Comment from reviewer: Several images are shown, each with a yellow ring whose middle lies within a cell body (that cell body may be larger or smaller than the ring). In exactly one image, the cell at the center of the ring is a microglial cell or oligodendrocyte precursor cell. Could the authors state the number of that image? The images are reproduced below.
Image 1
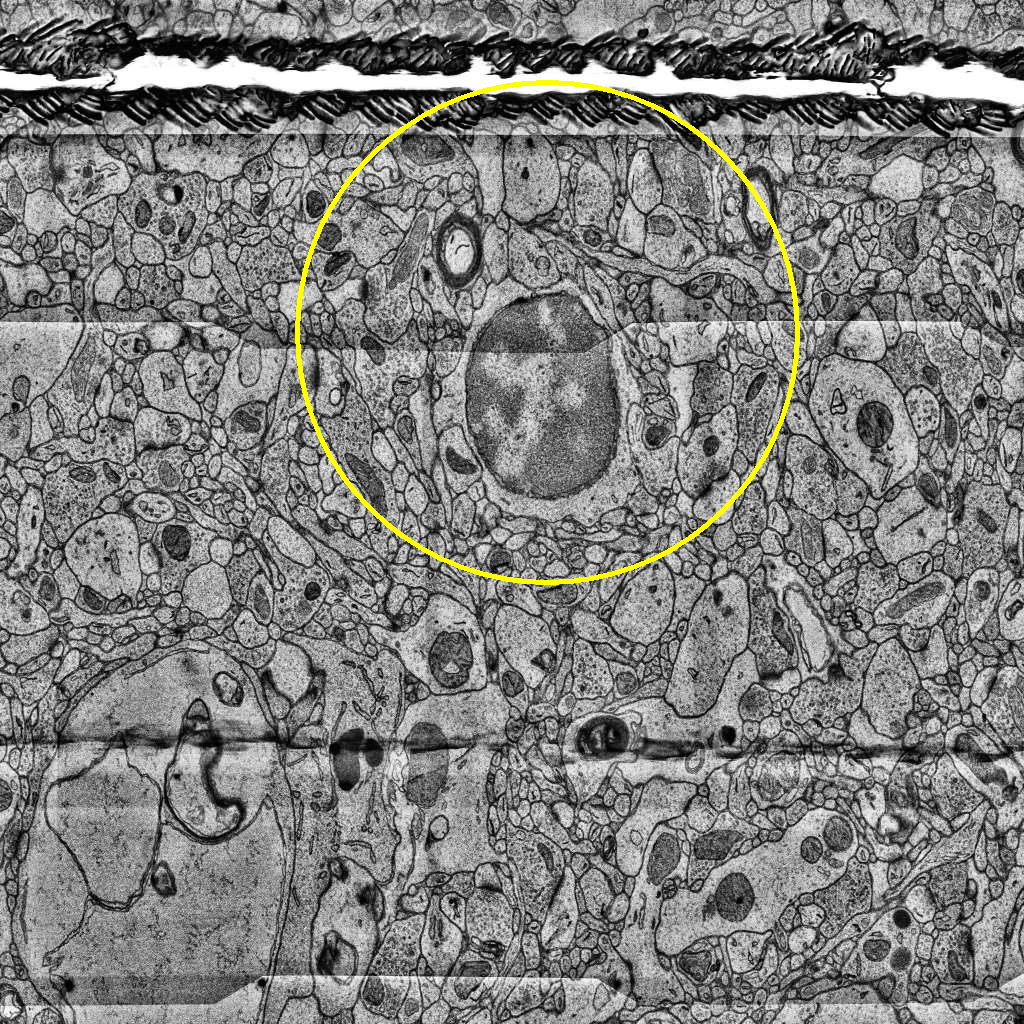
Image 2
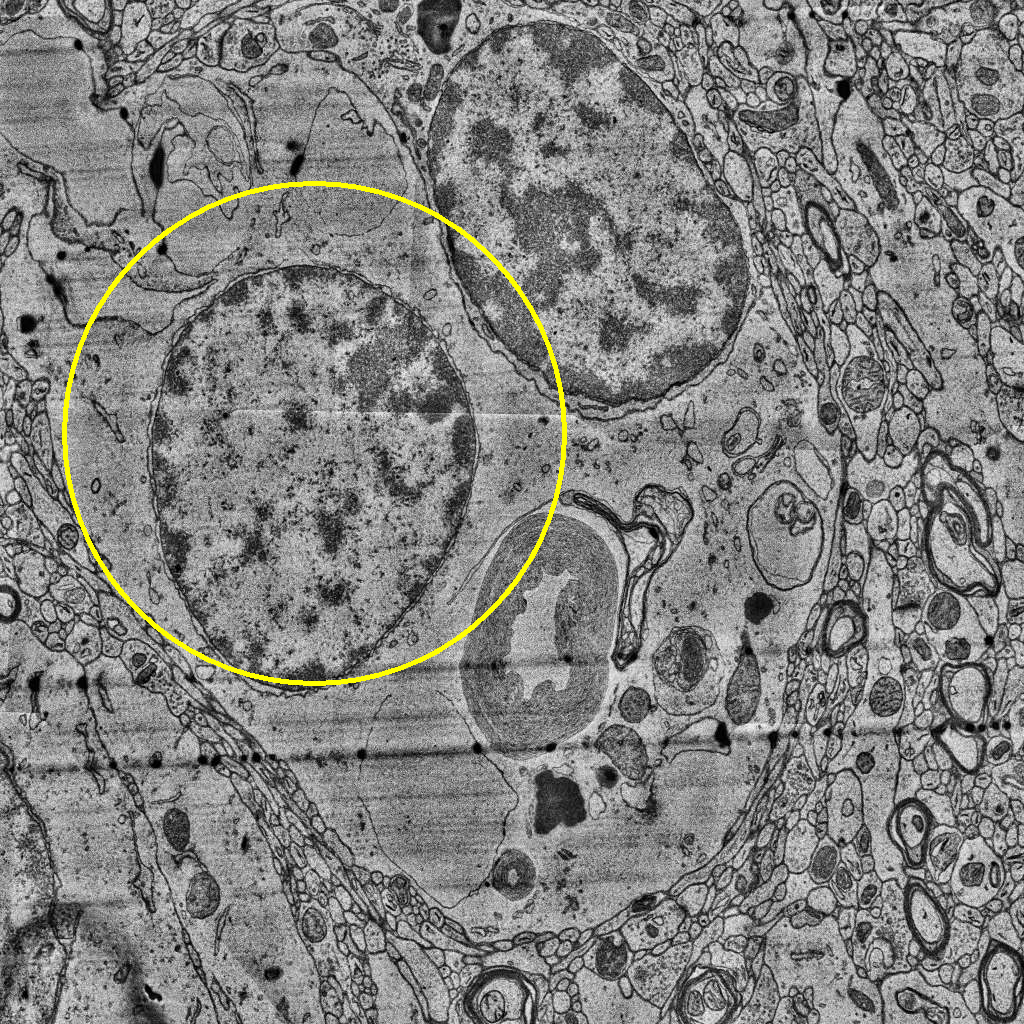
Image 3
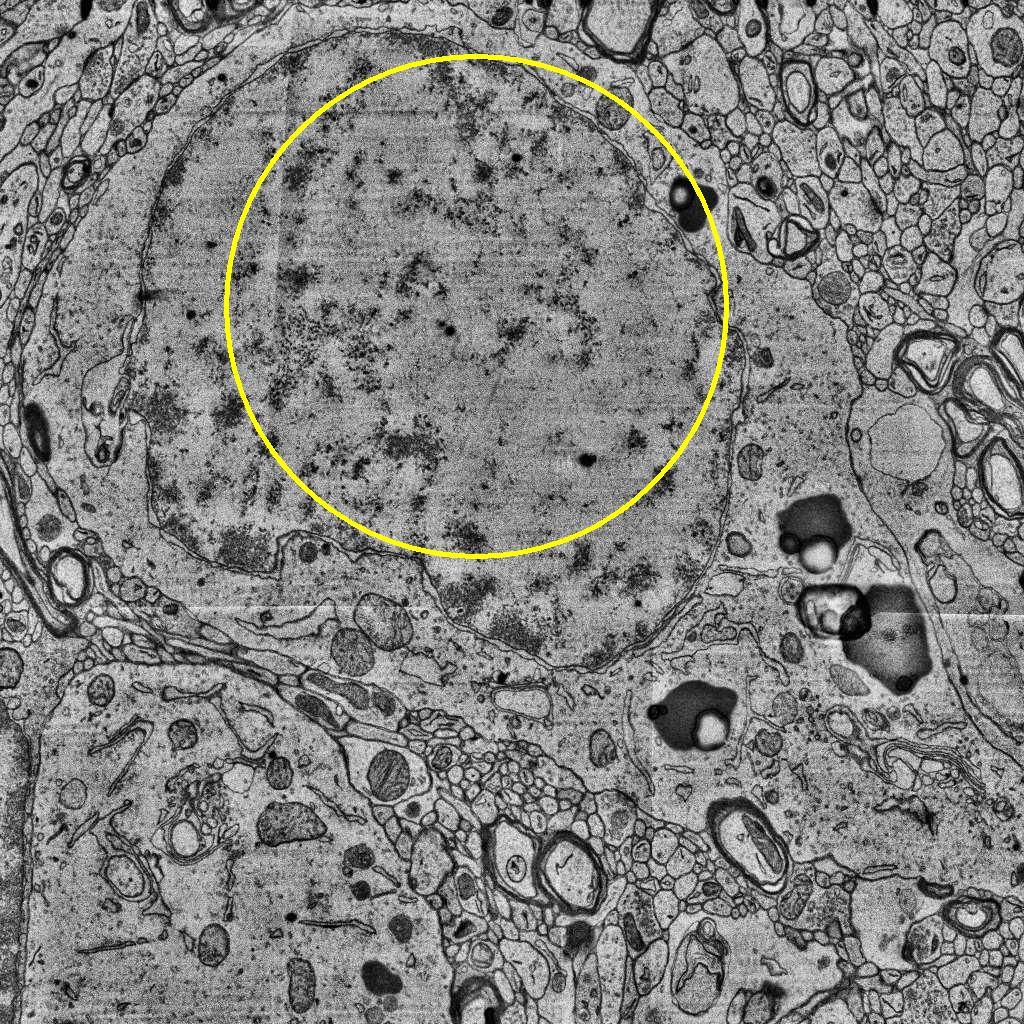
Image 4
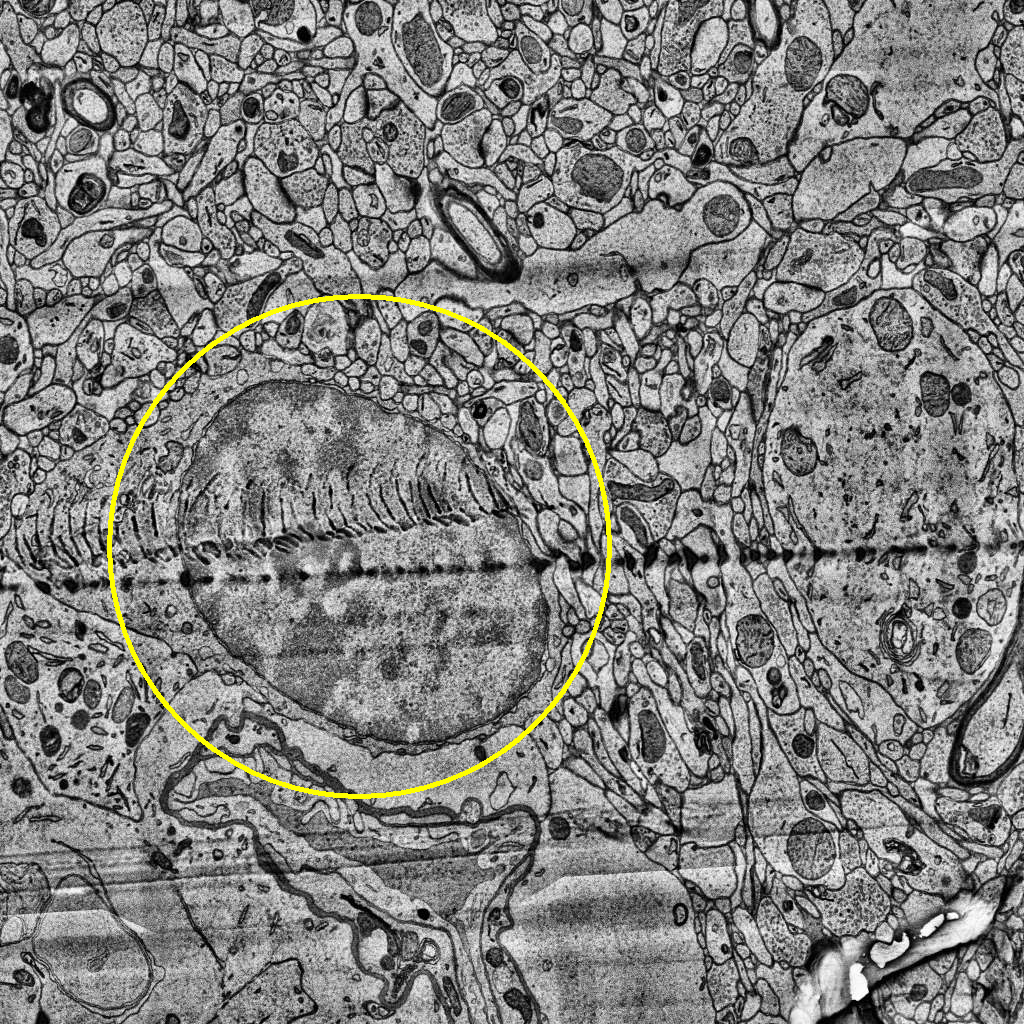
1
